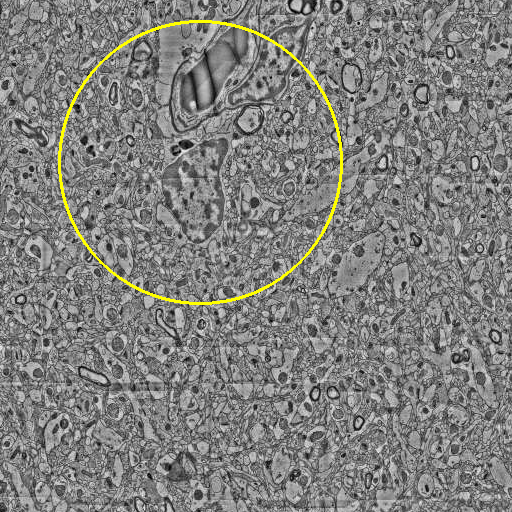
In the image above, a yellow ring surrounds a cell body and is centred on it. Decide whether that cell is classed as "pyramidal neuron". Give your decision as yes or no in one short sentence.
No, it belongs to another kind of cell.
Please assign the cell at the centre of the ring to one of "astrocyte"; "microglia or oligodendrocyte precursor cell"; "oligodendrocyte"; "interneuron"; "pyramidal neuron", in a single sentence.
Instead, the cell at the centre of the yellow ring is a microglial cell or oligodendrocyte precursor cell.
